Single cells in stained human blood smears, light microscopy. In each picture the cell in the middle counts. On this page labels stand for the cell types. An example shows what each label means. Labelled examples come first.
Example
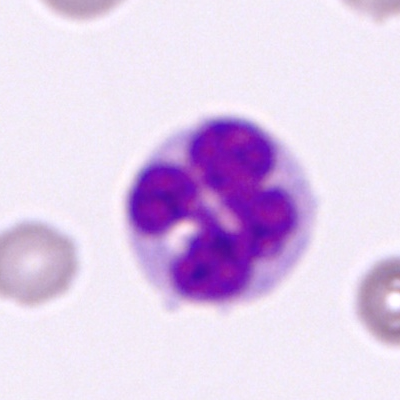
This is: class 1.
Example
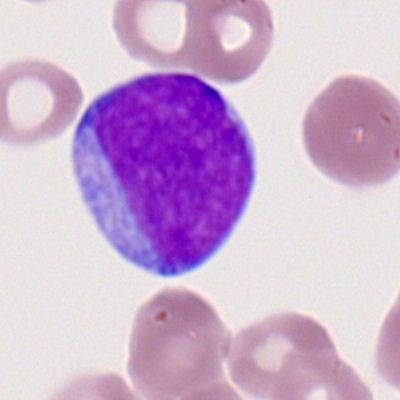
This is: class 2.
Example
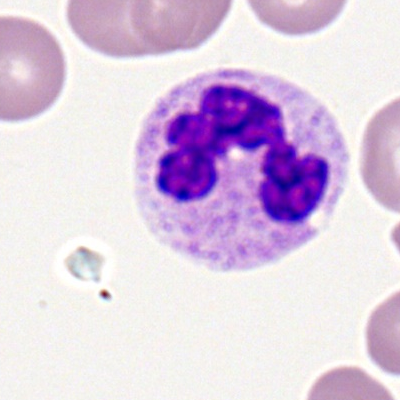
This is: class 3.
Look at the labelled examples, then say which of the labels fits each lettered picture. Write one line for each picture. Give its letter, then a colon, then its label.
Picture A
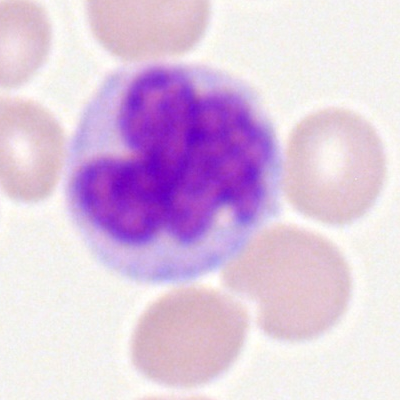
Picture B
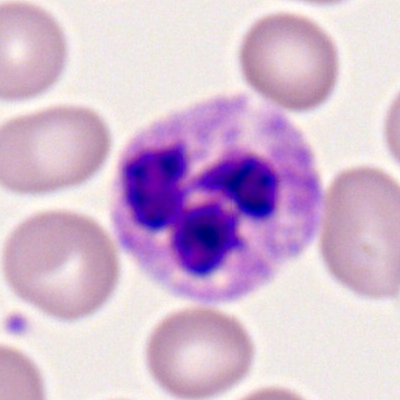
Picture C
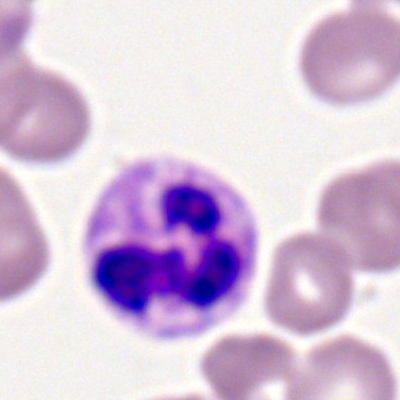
A: class 1.
B: class 3.
C: class 3.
